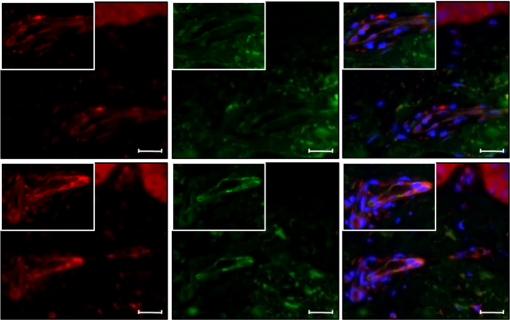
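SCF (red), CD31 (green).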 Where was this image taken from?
dermis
